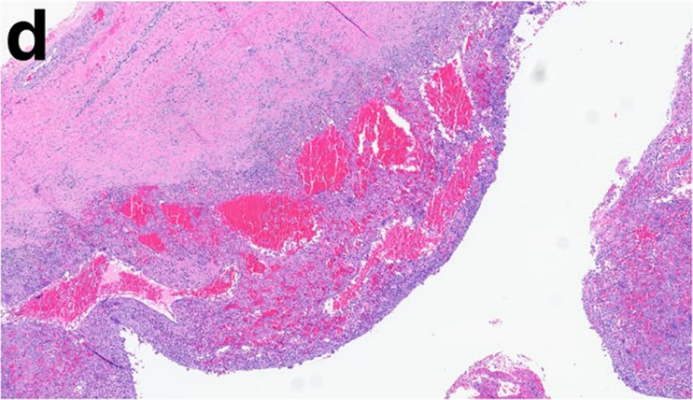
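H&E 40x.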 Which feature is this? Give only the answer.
blood-filled cystic spaces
